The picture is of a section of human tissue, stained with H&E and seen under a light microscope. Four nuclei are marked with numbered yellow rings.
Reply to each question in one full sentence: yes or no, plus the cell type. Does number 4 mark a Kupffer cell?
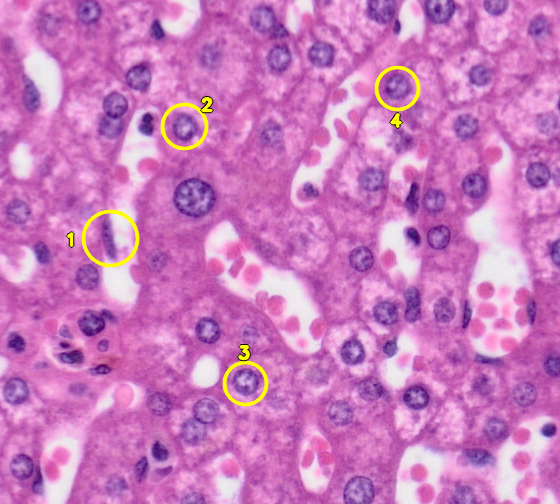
No, that is wrong: cell 4 is a hepatocyte, and not a Kupffer cell.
